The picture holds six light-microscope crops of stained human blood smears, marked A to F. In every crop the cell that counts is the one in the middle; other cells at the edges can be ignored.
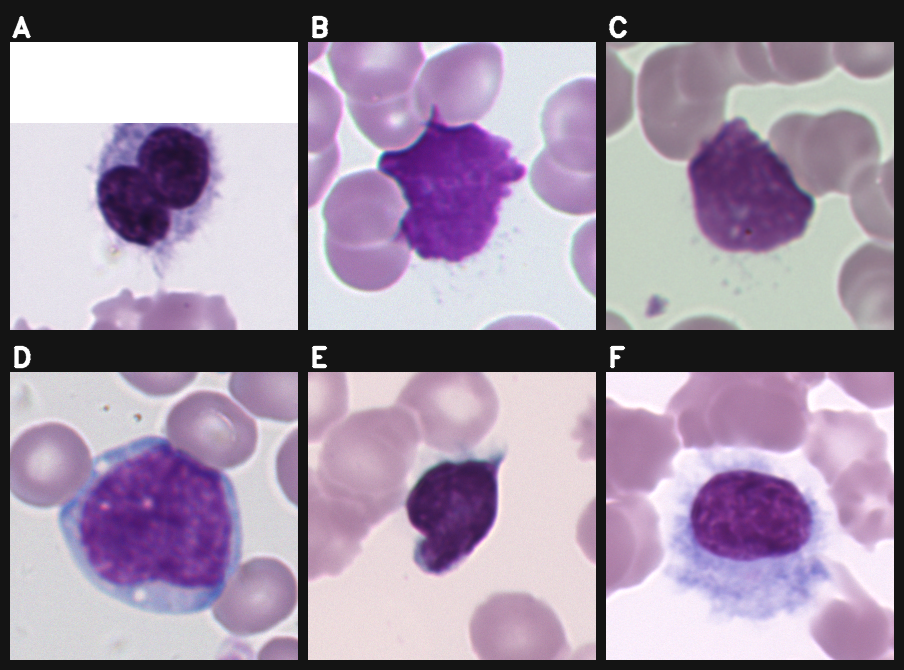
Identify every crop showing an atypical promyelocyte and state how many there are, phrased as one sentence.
The crops hold no atypical promyelocytes, which gives a count of zero.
